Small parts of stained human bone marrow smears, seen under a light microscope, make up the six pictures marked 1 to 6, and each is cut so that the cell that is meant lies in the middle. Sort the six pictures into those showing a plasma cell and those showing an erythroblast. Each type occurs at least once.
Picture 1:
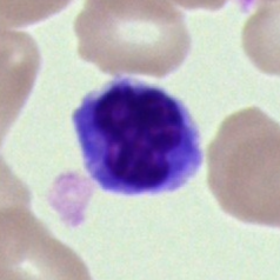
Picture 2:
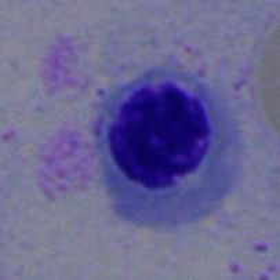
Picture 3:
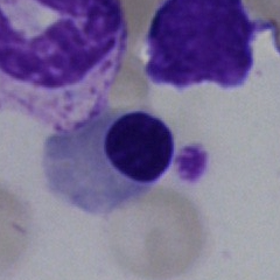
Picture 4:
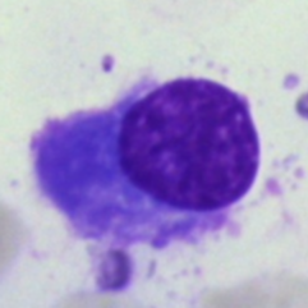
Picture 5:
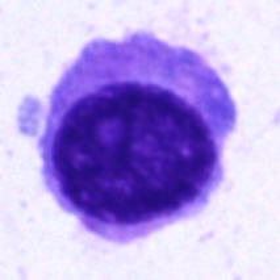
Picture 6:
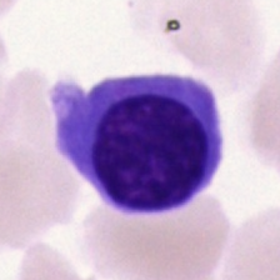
1: erythroblast
2: erythroblast
3: erythroblast
4: plasma cell
5: plasma cell
6: plasma cell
